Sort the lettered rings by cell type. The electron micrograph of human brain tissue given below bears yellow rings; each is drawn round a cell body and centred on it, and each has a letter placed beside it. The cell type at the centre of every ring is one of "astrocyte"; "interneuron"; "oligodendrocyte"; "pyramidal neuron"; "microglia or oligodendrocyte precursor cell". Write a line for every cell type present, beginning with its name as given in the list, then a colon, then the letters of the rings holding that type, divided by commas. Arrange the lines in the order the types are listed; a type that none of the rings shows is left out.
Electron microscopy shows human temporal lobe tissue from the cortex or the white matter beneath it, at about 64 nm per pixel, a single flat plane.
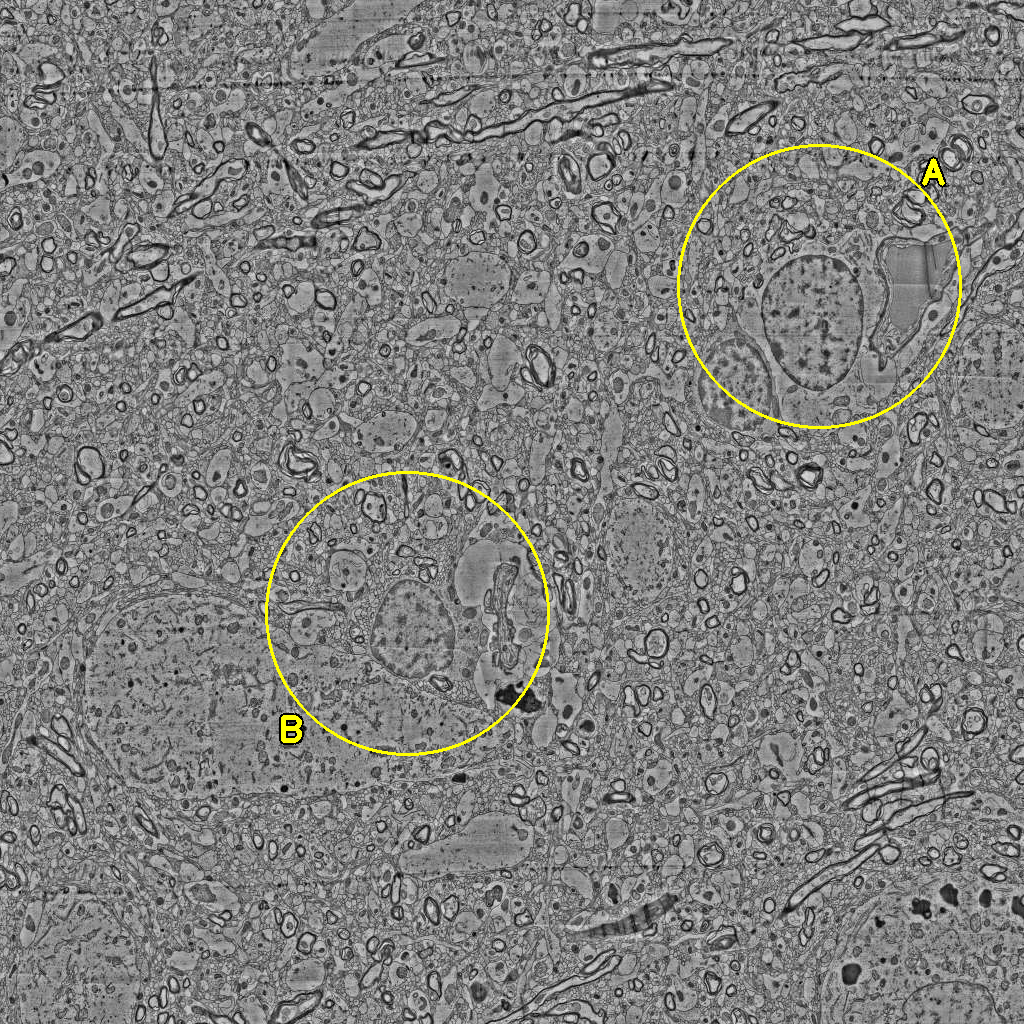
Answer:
oligodendrocyte: B
microglia or oligodendrocyte precursor cell: A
